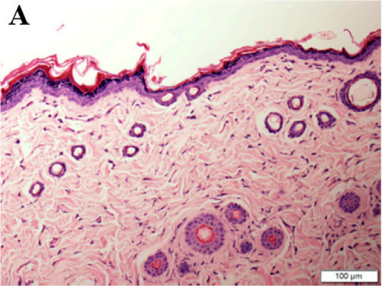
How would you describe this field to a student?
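This is skin with a thin epidermis of a few layers of purple-stained keratinocytes topped by a thin pink keratin layer. Below lies dermis of pink, wavy collagen bundles with scattered spindle-shaped fibroblast nuclei. Small hair follicles cut in cross section appear as rings of epithelial cells with round lumens. Few inflammatory cells are seen between the collagen bundles. The follicles are not dilated and contain little keratin.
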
